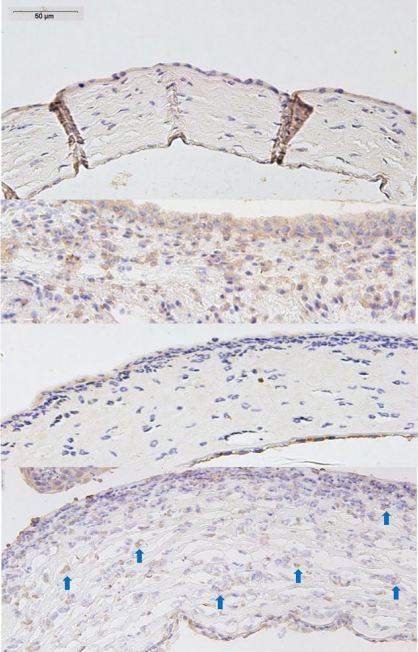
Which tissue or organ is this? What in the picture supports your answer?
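Cornea. A layered epithelium lies along one surface of the sections. The sections curve gently along their length.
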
